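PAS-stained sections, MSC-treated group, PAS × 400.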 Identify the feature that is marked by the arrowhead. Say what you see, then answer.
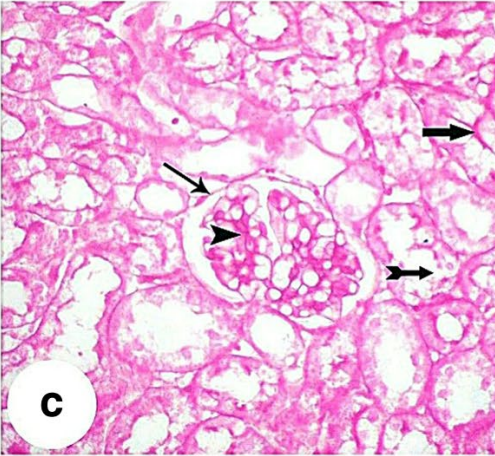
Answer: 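The arrowhead lies in a tuft of many small round open loops. The loop walls are outlined in strong magenta.
Glomerular capillaries.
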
